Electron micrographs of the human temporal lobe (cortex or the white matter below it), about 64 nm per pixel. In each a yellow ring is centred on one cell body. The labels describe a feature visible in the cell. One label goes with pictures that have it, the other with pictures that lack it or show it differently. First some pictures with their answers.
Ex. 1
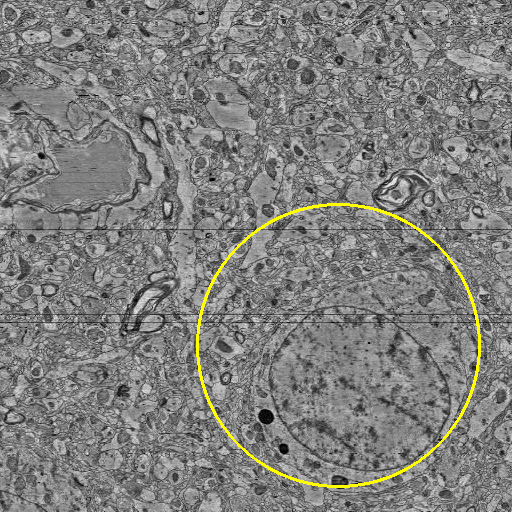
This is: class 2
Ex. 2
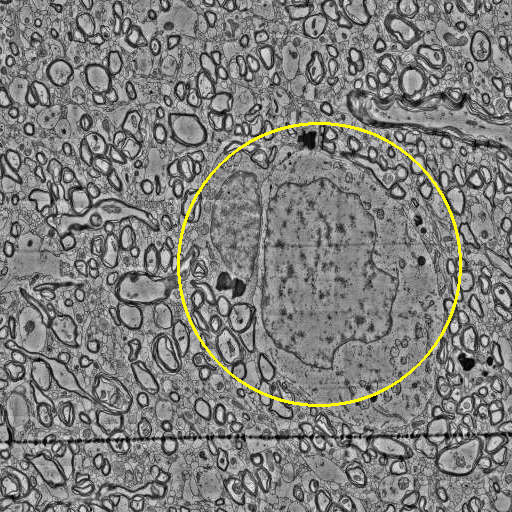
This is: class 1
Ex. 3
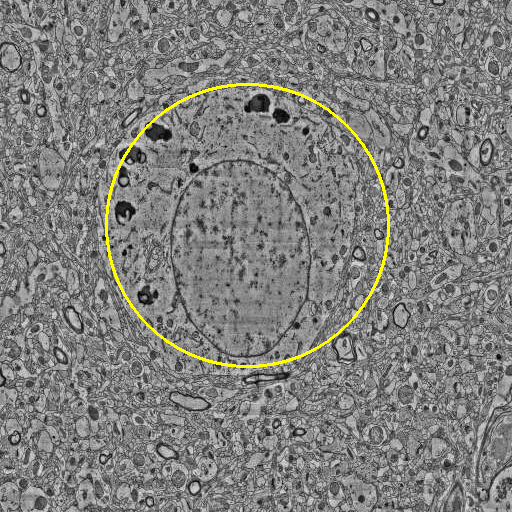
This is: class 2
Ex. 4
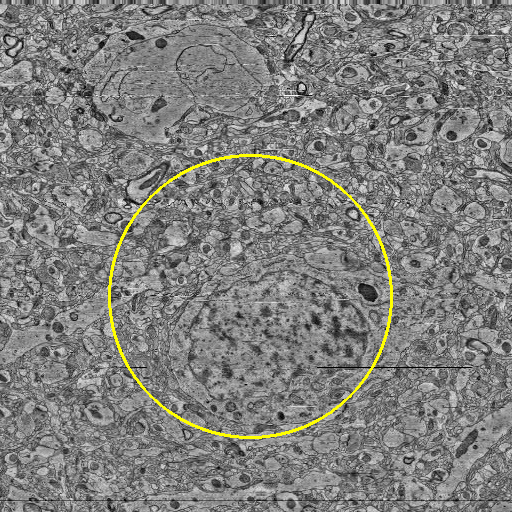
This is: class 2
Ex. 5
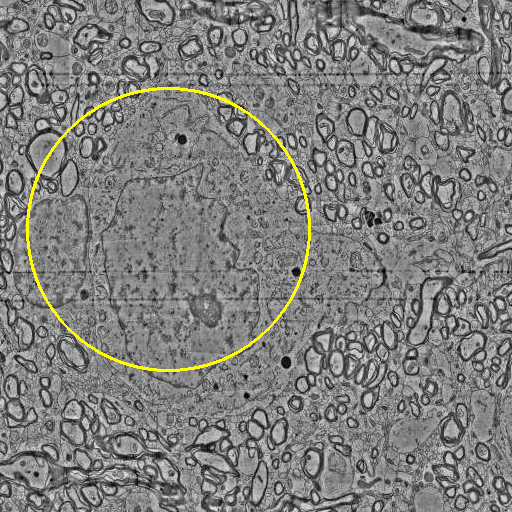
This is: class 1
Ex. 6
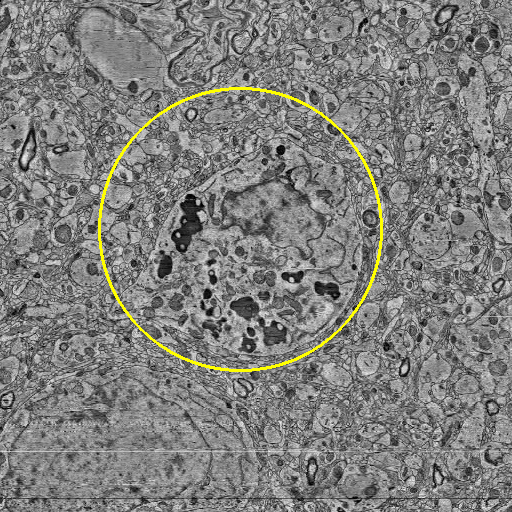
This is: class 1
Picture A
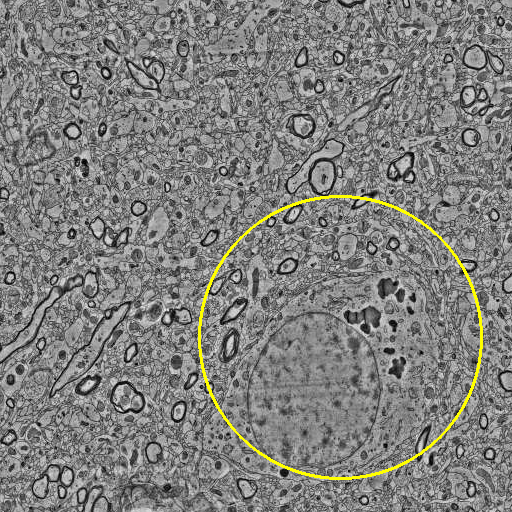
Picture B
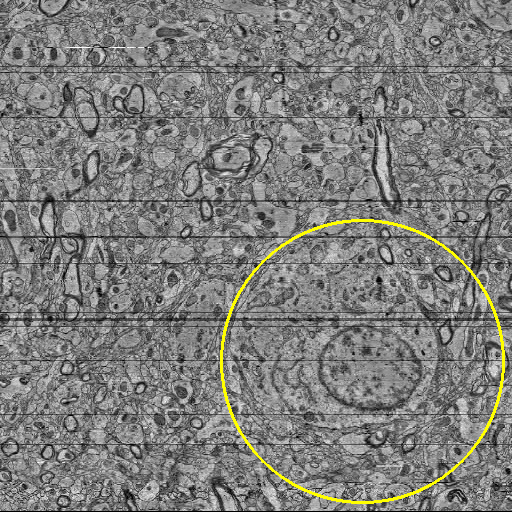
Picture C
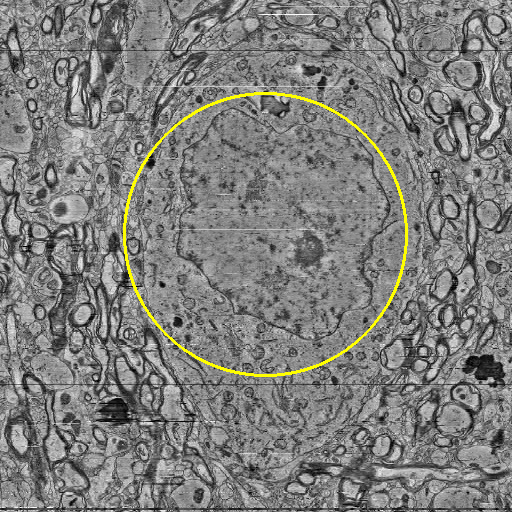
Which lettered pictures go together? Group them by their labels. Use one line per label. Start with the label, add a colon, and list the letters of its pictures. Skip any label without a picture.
class 2: A, B
class 1: C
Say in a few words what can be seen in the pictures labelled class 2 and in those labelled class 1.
Seen in class 2: smooth nuclear envelopes without deep folds; seen in class 1: deeply folded or indented nuclear envelopes.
